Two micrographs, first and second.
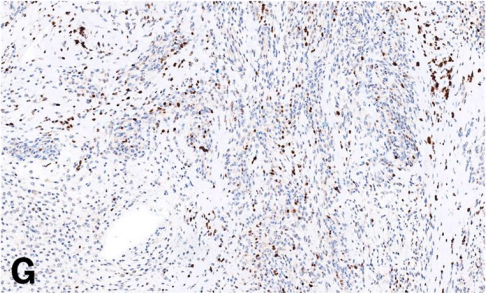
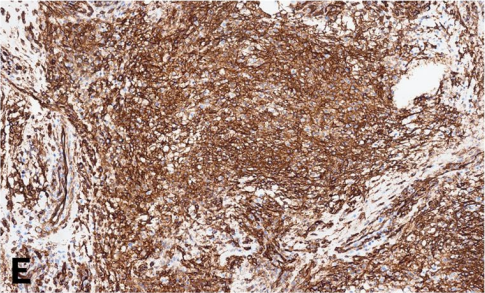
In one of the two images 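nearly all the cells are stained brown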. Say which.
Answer: The second image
